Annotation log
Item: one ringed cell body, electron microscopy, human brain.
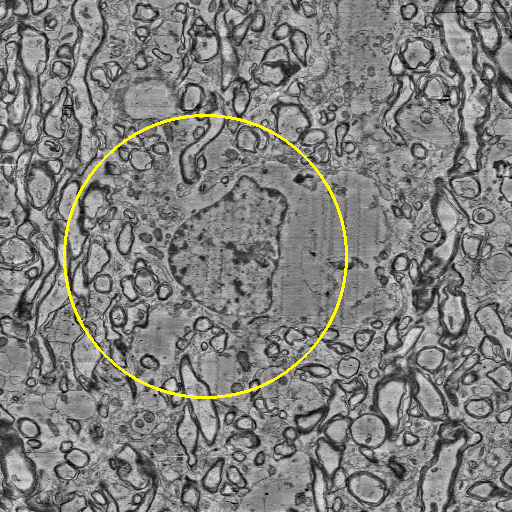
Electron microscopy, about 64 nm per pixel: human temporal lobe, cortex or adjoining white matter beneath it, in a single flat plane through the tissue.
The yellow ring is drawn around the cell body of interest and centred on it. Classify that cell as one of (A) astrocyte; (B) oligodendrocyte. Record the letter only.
A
